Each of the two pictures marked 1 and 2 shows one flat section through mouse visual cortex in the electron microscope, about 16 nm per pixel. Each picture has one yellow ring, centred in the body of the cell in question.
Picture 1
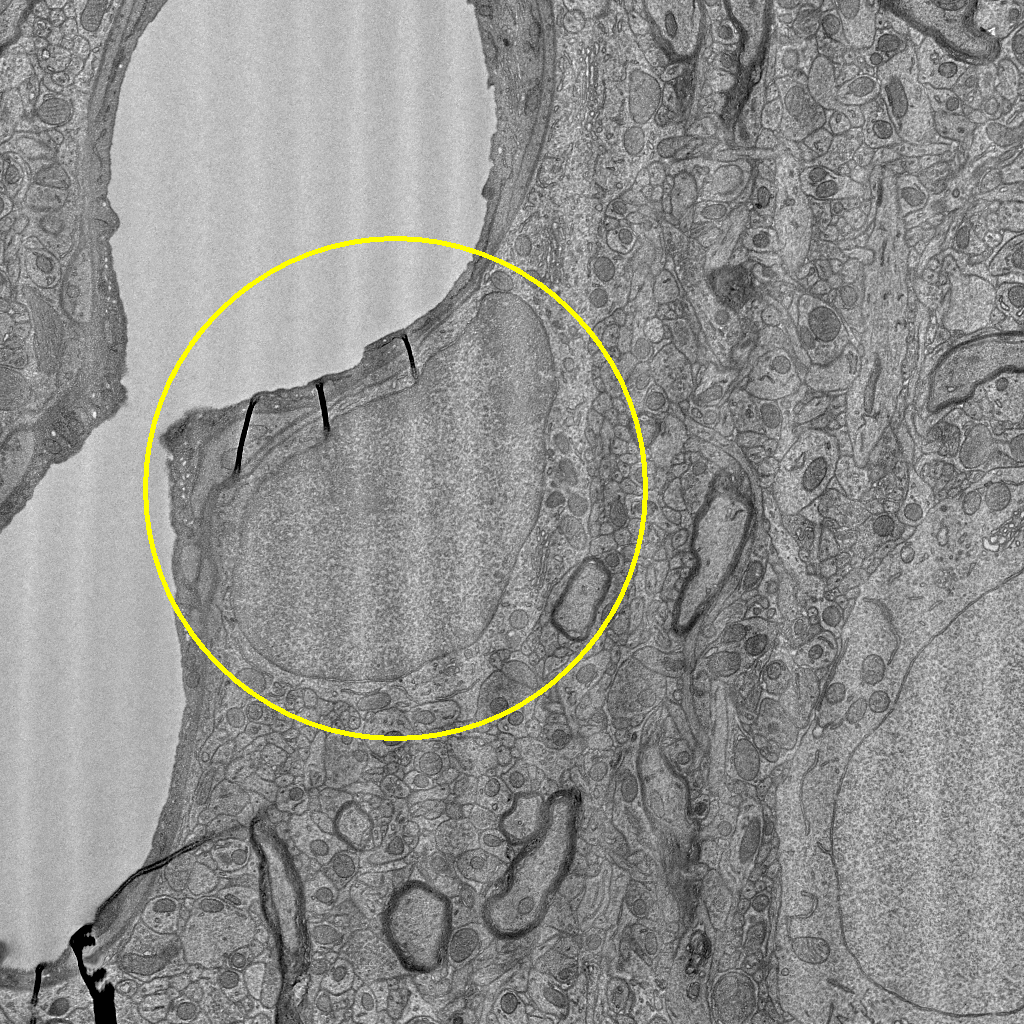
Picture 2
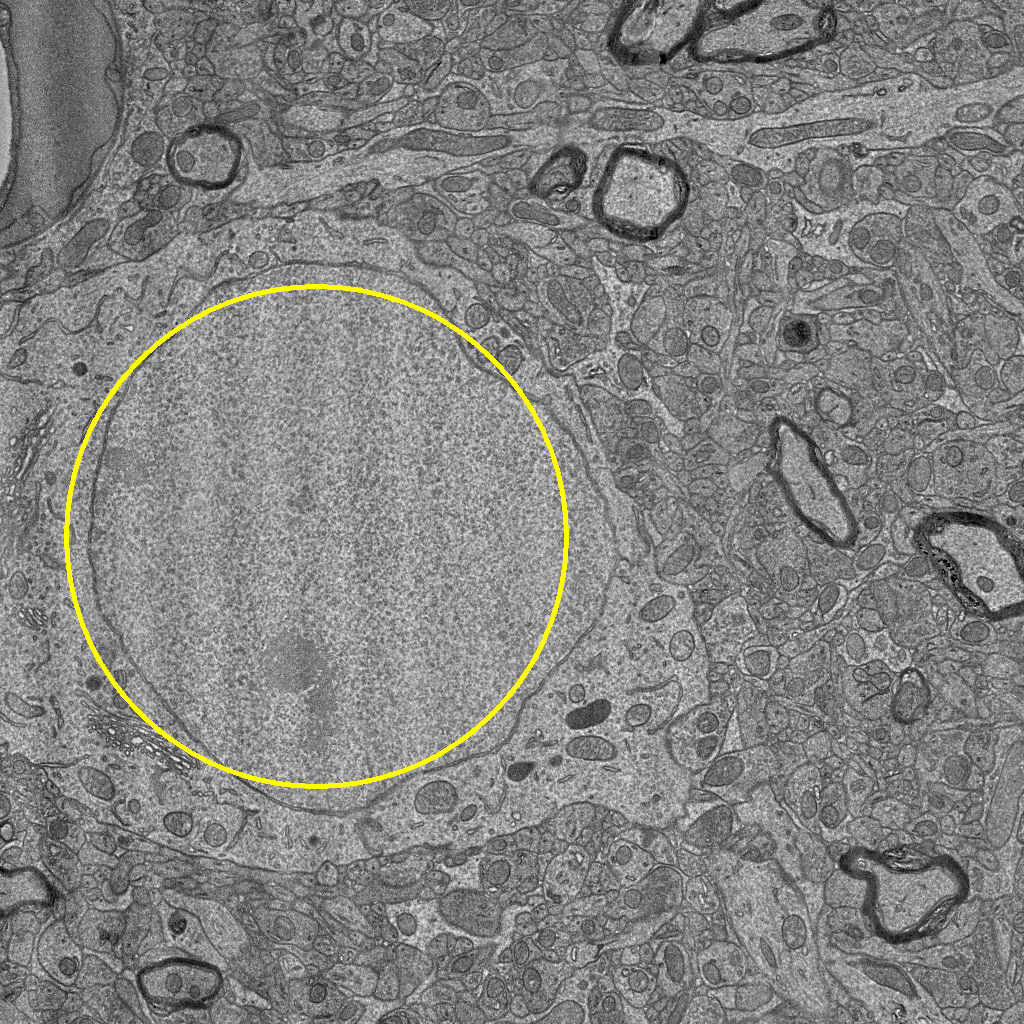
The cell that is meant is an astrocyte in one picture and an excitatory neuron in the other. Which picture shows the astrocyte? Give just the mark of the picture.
1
